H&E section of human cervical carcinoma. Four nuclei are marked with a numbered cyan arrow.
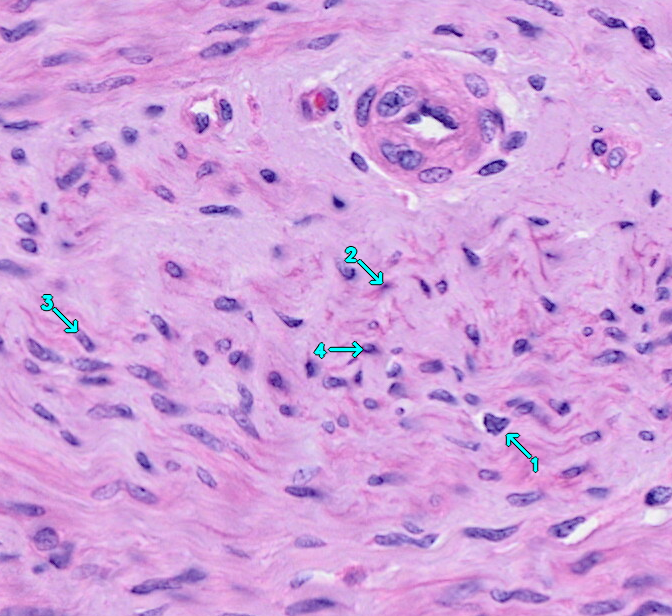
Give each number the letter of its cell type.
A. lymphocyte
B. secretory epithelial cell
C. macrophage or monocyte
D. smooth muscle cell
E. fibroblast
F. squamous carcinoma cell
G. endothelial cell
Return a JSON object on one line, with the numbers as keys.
{"1": "A", "2": "D", "3": "D", "4": "D"}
